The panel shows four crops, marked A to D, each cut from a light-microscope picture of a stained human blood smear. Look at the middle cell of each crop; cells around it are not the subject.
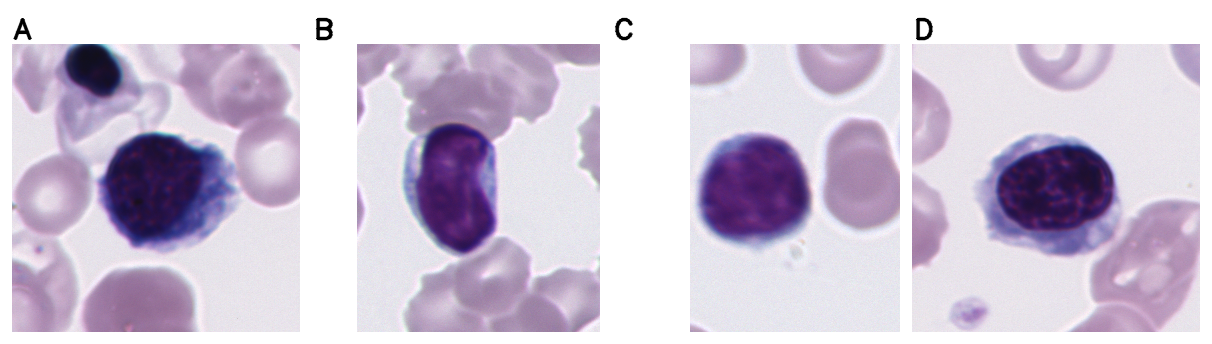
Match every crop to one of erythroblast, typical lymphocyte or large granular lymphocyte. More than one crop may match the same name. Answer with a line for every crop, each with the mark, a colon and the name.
A: erythroblast
B: typical lymphocyte
C: typical lymphocyte
D: erythroblast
